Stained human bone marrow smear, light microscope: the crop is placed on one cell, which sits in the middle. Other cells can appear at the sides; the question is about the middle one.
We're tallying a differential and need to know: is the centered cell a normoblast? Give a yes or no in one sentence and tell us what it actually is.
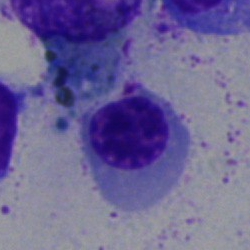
Yes, a normoblast is the cell positioned in the middle of the field.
